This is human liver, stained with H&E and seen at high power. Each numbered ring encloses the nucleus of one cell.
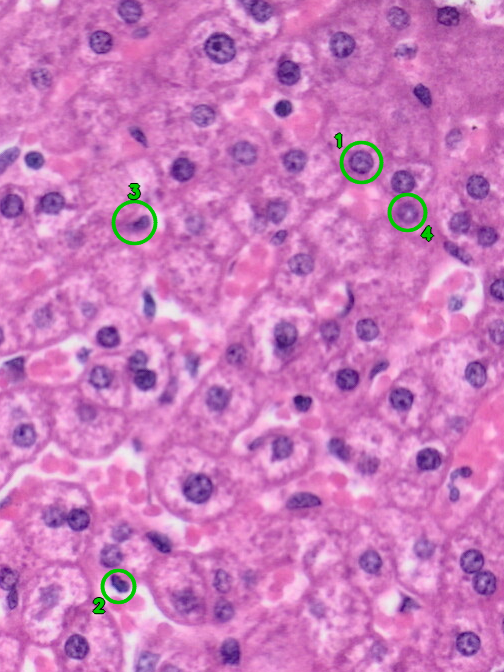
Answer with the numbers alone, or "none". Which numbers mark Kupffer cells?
3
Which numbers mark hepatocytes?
1, 4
